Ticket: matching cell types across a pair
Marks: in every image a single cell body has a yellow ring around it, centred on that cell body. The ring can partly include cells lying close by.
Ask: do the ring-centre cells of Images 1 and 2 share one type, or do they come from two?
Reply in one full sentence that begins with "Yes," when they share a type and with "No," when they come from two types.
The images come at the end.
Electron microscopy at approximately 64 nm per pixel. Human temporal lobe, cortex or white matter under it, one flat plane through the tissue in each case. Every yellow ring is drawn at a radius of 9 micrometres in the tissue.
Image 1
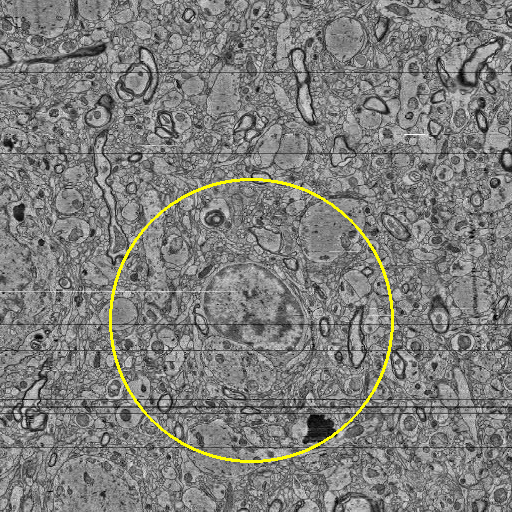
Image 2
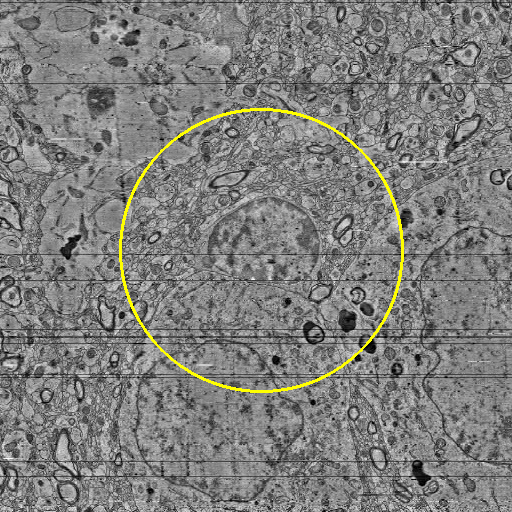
Yes, the cells in the centres of the rings in Image 1 and Image 2 share one type.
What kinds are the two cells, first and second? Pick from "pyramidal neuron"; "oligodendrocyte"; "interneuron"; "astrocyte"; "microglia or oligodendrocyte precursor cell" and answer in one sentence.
Each cell, in the first picture and the second, is an oligodendrocyte.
